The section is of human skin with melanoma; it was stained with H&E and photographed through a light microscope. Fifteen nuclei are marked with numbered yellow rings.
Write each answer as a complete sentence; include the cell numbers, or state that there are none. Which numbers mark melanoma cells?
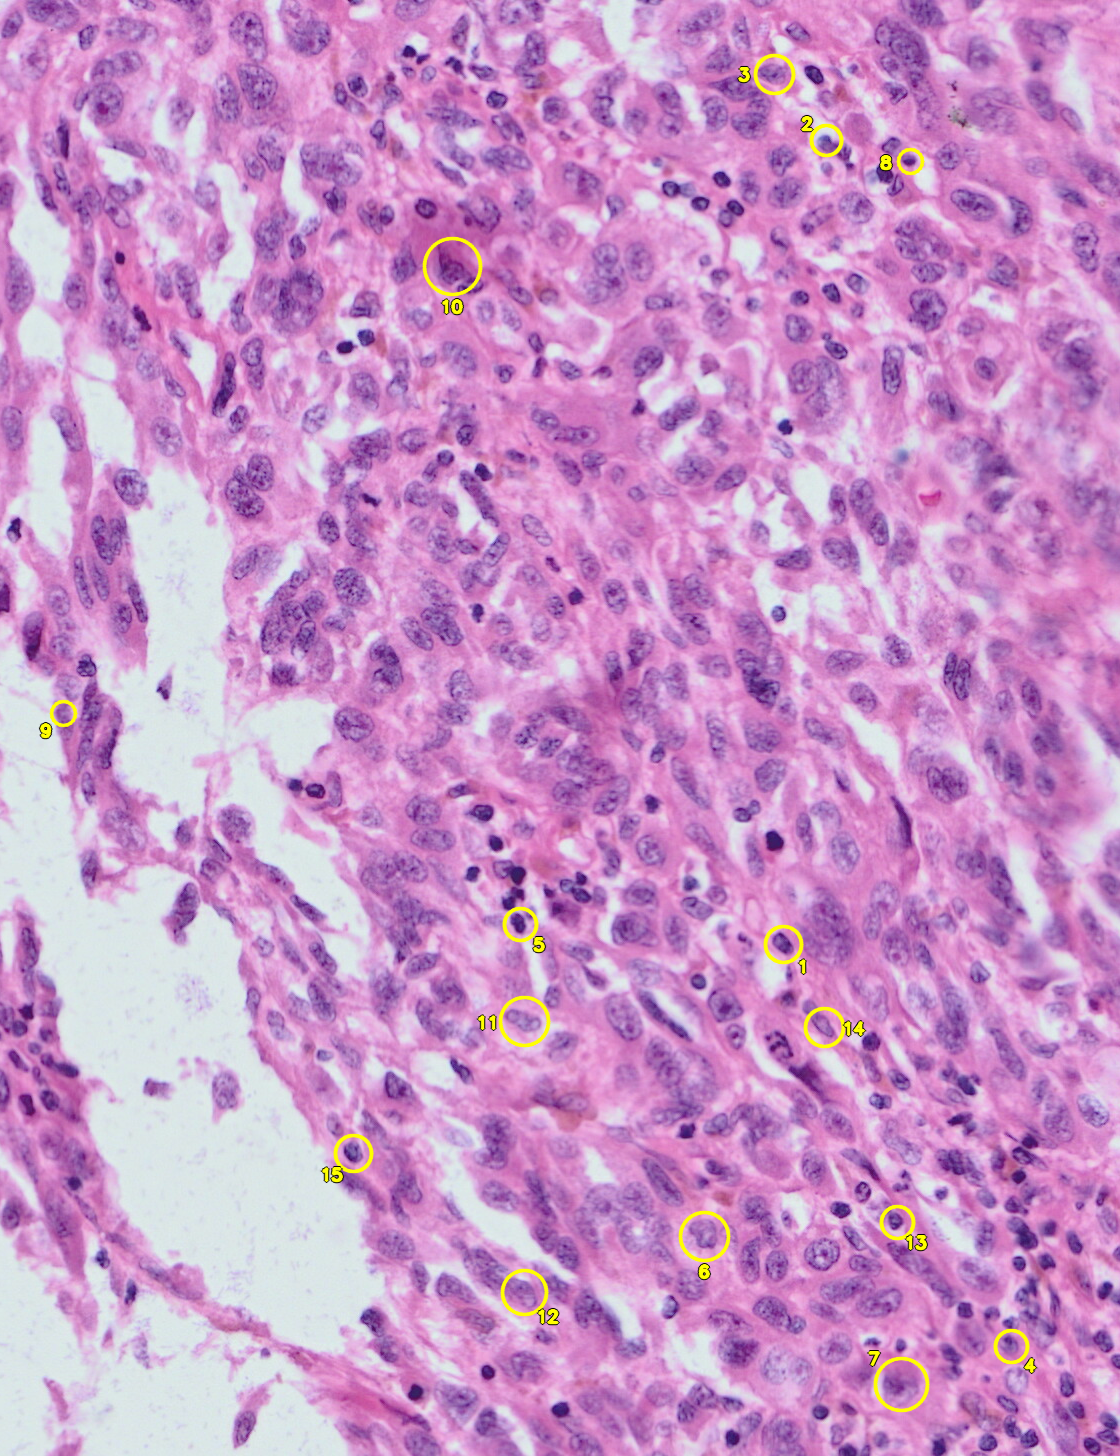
The numbers 7, 9, 10 and 12 in this section indicate melanoma cells.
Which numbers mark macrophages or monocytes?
Cells 3, 6, 11 and 14 are recognised here as macrophages or monocytes.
